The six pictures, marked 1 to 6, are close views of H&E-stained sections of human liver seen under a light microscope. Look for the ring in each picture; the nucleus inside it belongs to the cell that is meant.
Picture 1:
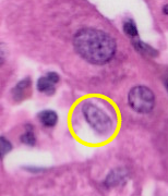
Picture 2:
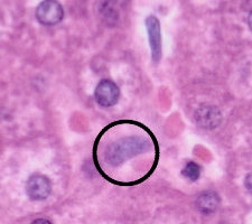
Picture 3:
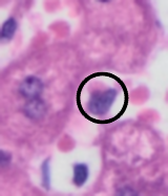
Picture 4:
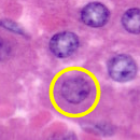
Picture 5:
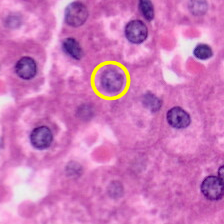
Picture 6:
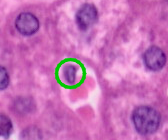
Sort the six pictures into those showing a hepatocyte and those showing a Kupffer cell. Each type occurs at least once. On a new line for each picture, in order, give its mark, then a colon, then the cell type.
1: Kupffer cell
2: Kupffer cell
3: Kupffer cell
4: hepatocyte
5: hepatocyte
6: Kupffer cell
